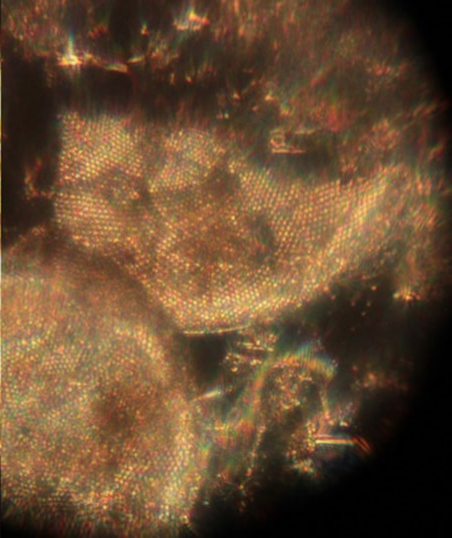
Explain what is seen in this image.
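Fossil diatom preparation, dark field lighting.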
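Two overlapping shells occupy the centre and lower left, and their curved margins stand out brightly. Small bright fragments of debris are scattered around them.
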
